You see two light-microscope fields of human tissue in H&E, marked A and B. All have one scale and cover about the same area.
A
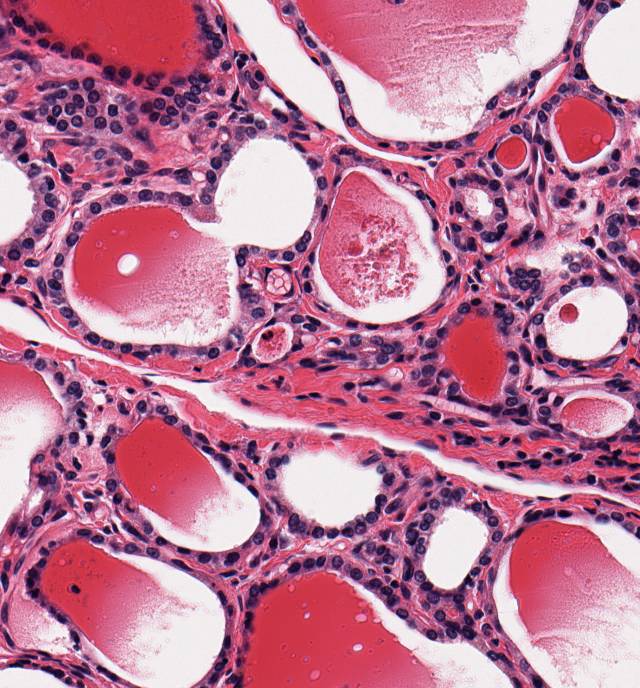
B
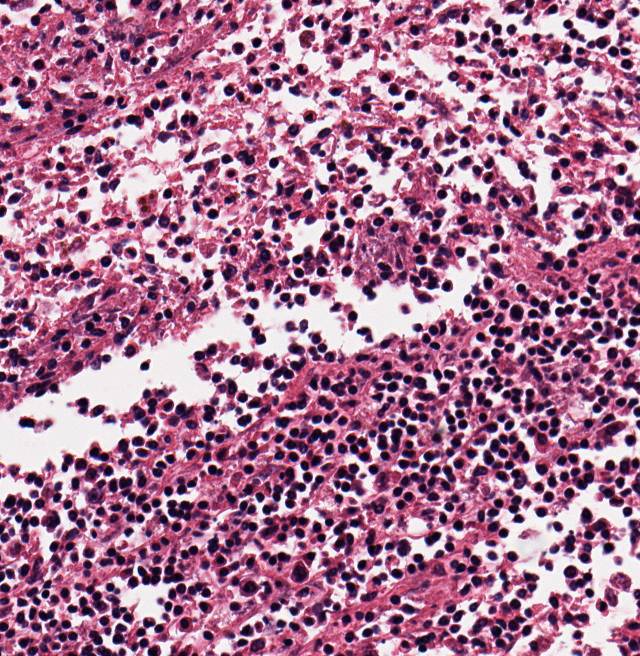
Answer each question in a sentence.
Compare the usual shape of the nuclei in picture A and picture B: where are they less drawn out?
Rounder nuclei lie in picture B.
